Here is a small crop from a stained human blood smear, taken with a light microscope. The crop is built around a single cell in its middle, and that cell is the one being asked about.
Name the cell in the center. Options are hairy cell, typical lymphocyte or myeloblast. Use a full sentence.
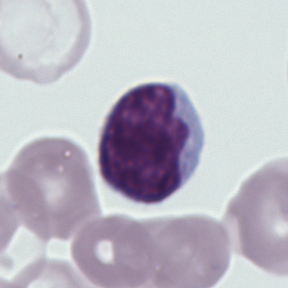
This crop is built around a typical lymphocyte at its centre.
